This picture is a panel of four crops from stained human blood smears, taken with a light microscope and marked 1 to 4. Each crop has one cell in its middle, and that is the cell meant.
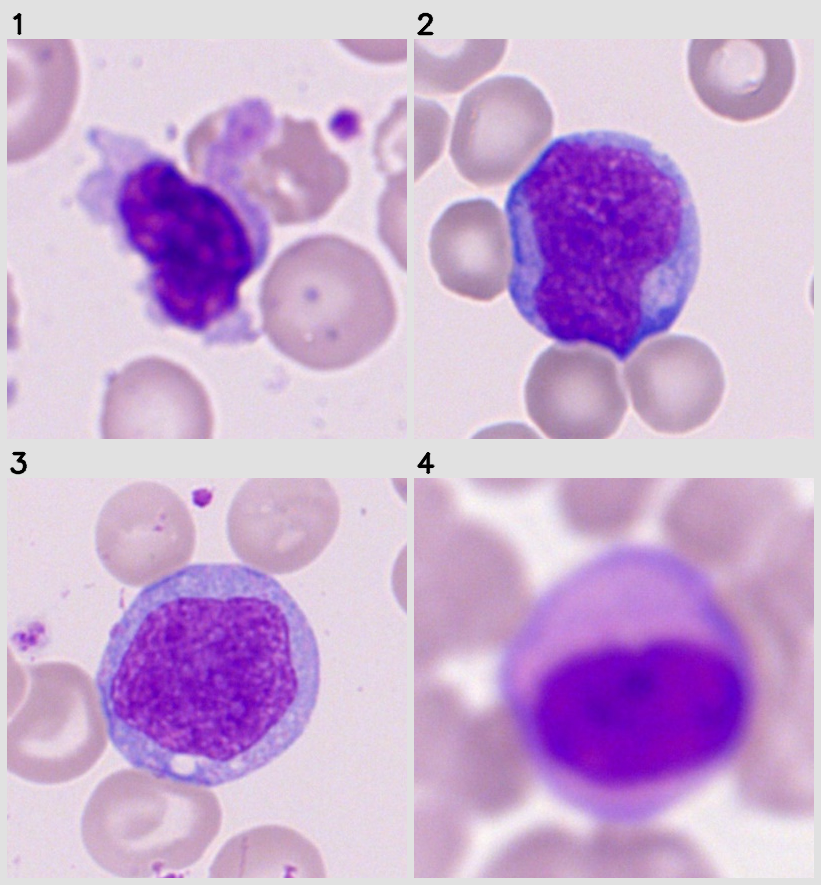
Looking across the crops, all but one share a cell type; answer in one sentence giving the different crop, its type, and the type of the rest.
Just crop 1 is a lymphocyte; all the other crops show myeloblasts.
